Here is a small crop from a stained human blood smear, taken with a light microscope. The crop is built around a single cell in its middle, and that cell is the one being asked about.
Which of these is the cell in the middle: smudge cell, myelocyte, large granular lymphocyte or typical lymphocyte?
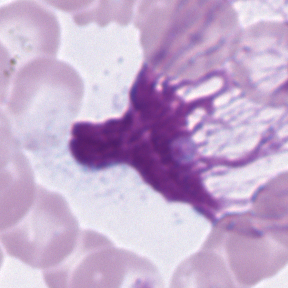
smudge cell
